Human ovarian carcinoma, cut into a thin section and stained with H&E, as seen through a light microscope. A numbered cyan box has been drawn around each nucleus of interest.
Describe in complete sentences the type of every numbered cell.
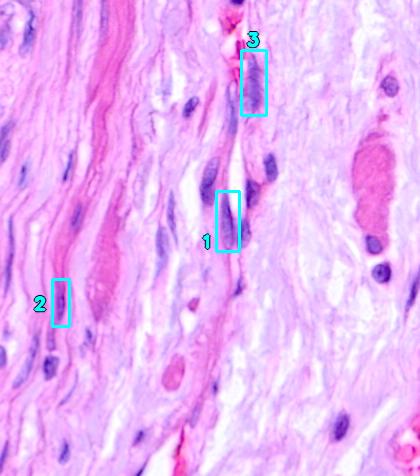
Cells 1 and 3 are endothelial cells. Cell 2 is a smooth muscle cell.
